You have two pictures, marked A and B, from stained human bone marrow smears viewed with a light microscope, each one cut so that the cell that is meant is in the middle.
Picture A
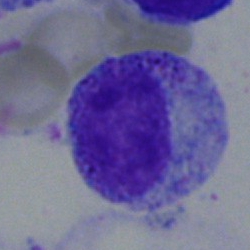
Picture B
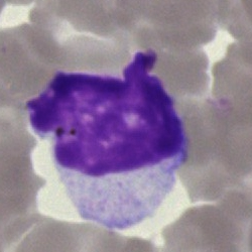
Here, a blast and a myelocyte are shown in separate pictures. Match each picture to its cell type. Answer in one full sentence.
It is picture A that shows a myelocyte, and picture B that shows a blast.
